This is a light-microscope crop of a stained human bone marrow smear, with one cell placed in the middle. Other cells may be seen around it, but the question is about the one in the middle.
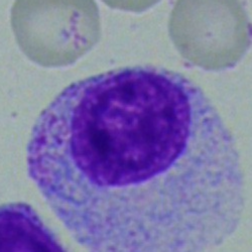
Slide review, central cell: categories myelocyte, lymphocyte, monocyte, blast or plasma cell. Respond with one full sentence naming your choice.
The cell shown in the center of this light-microscope crop is a myelocyte.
